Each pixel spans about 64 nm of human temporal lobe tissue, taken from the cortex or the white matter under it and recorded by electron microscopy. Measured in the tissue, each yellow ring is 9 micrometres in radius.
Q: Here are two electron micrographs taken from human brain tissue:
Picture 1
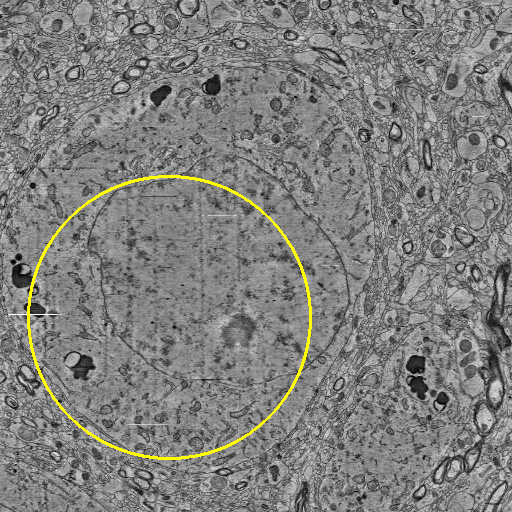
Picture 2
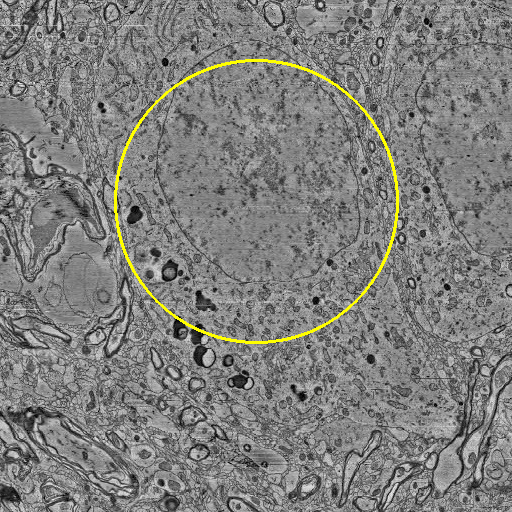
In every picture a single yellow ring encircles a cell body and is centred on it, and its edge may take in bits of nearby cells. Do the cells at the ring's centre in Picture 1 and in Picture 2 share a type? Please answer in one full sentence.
Yes, the cells at the ring's centre in Picture 1 and Picture 2 share a type.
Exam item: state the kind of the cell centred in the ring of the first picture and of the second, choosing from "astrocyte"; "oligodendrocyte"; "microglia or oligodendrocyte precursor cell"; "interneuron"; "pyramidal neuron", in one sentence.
The first and the second cell are each a pyramidal neuron.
